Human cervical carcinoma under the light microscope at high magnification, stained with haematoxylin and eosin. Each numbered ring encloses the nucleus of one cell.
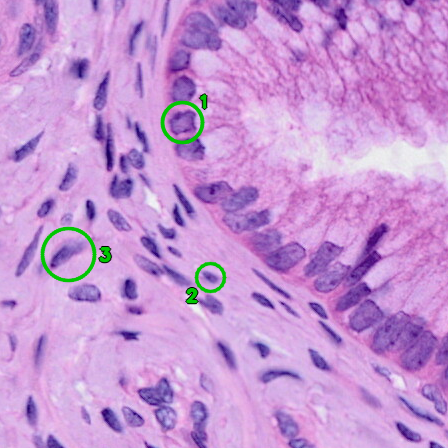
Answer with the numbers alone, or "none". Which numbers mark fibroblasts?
2, 3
